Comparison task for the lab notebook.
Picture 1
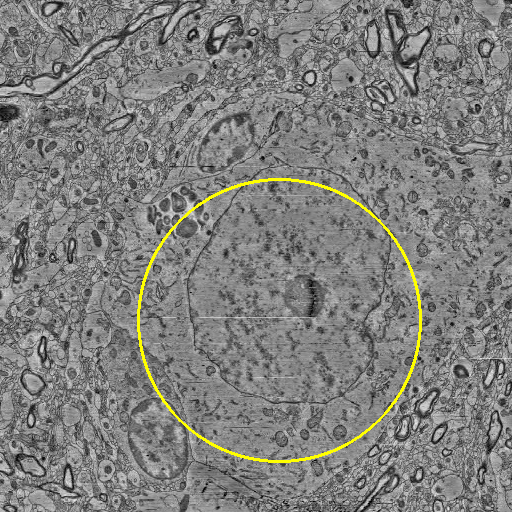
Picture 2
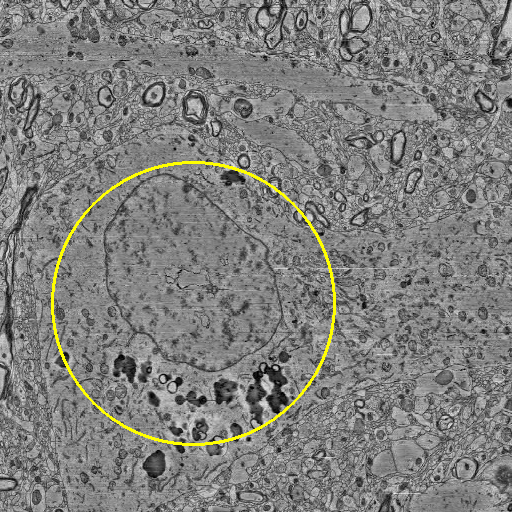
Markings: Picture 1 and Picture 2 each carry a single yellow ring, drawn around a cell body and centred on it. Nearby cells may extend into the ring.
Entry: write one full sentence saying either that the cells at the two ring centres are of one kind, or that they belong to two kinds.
The cells sitting at the ring centres in Picture 1 and Picture 2 are of one kind.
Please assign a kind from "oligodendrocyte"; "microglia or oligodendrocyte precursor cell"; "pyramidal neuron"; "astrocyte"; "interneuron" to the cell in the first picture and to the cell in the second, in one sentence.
The second cell is a pyramidal neuron, just as the first is.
